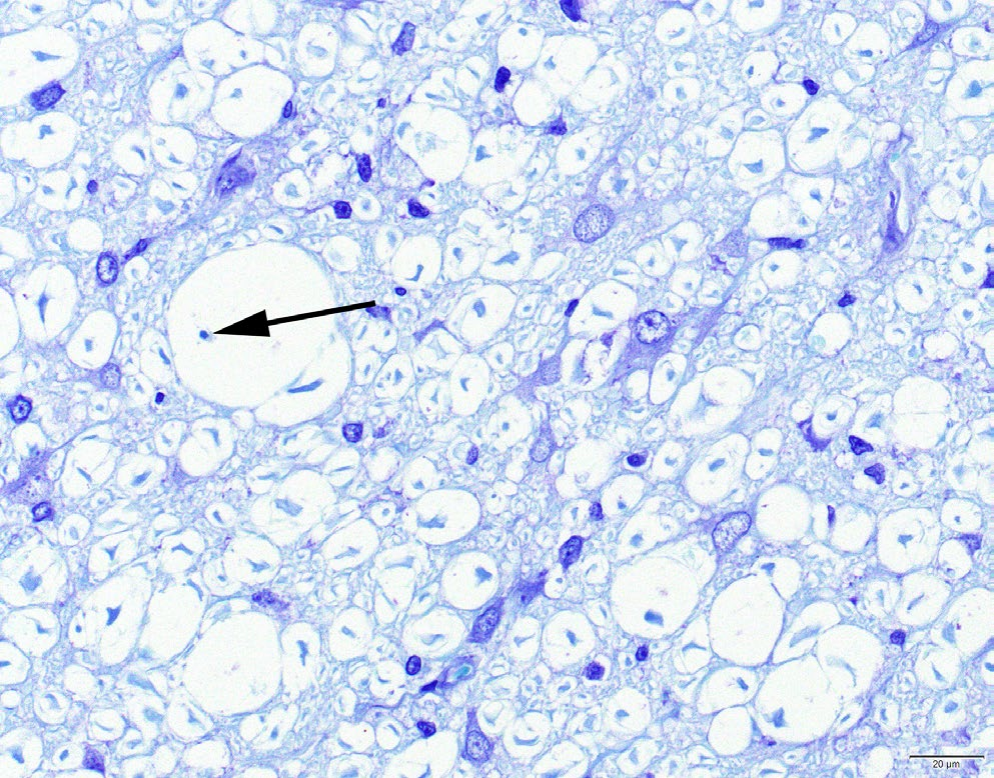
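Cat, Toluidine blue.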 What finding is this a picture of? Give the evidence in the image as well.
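Numerous round clear spaces of varying size fill the tissue. Some clear spaces are much larger than the surrounding fibres.
Conclusion: vacuolation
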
